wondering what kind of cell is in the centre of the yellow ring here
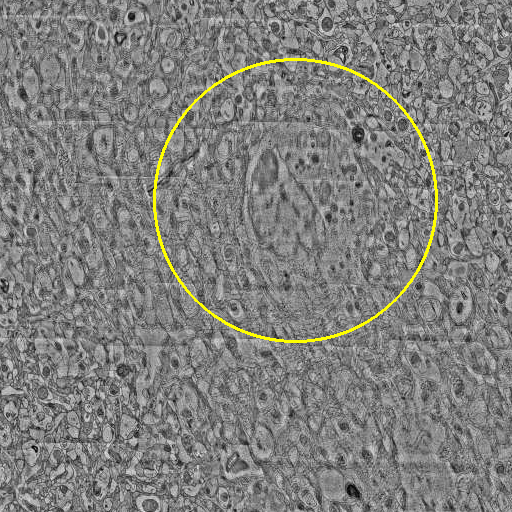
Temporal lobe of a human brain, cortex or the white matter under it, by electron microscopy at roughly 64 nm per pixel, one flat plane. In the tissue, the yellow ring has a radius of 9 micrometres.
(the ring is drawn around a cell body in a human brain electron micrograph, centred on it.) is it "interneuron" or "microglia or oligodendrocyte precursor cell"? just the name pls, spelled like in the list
interneuron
